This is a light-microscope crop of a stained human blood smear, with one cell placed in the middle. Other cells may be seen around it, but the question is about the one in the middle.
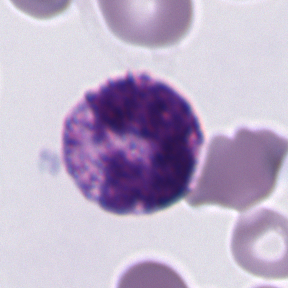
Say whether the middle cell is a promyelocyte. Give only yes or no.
no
